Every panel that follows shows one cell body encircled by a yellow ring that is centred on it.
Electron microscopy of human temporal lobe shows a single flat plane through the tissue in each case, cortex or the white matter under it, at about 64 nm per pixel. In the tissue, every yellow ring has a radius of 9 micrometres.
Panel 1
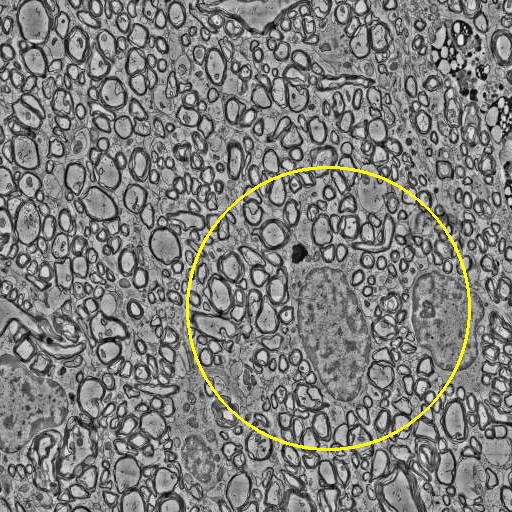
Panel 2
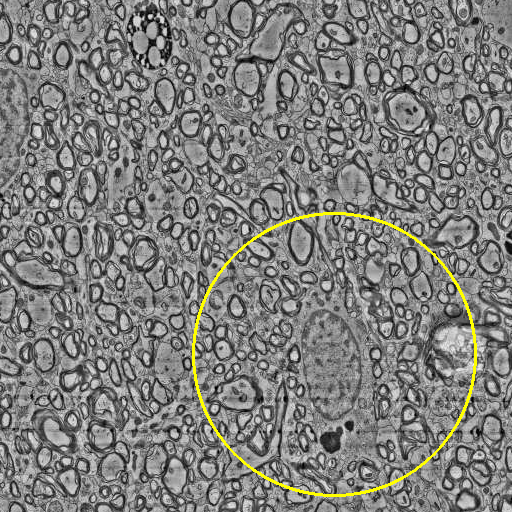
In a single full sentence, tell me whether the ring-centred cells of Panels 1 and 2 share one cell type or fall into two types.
In Panel 1 and Panel 2, the cells at the ring centres share one cell type.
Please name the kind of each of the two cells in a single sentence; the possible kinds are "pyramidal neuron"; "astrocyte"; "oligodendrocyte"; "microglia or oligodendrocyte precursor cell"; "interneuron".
In each picture the ringed cell is an oligodendrocyte.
